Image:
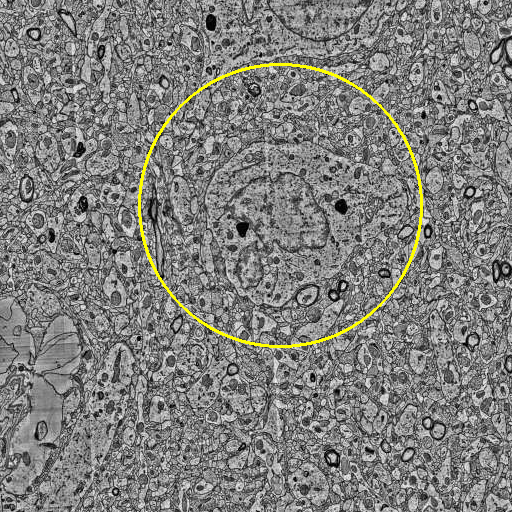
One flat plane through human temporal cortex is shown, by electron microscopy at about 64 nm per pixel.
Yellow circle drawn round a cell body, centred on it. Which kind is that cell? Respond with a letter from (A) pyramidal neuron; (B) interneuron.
B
